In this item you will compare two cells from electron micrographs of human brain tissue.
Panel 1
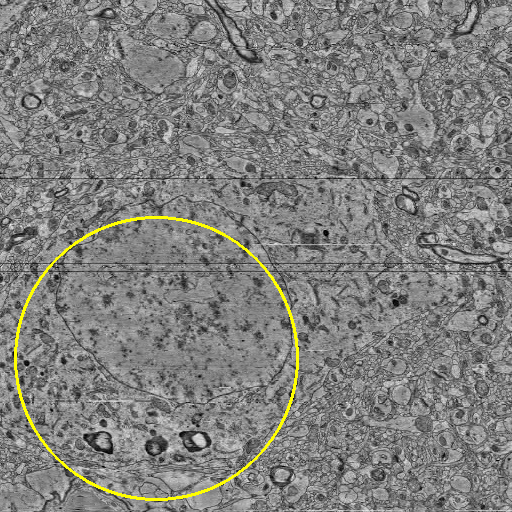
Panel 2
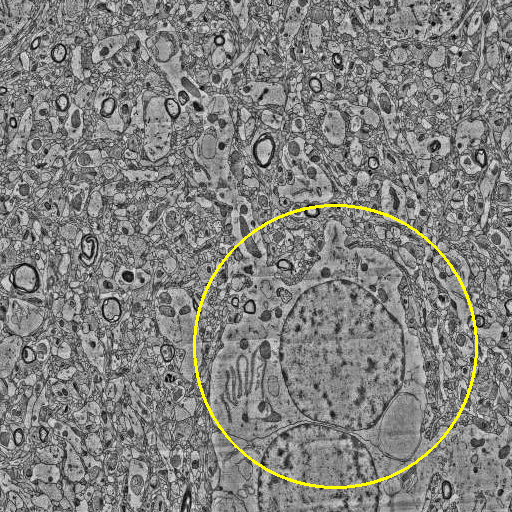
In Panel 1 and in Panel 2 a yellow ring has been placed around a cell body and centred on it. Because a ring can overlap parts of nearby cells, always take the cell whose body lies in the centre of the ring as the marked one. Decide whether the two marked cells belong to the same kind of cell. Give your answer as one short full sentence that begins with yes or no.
No, the two marked cells belong to two kinds of cell.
